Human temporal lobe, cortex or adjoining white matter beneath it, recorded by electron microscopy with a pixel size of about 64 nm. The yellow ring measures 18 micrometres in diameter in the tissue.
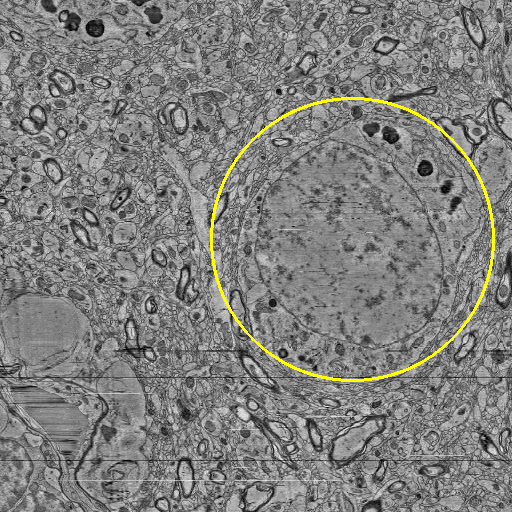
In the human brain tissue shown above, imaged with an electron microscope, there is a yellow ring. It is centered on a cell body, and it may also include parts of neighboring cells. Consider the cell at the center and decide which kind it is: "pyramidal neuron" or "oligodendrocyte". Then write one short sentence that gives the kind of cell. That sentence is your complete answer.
This centered cell body is that of a pyramidal neuron.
